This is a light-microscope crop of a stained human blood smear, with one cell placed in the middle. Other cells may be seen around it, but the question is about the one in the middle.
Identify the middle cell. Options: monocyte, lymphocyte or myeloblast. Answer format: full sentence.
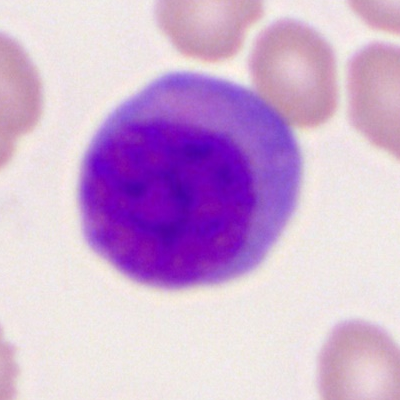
In the central position of this crop, the cell is a myeloblast.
